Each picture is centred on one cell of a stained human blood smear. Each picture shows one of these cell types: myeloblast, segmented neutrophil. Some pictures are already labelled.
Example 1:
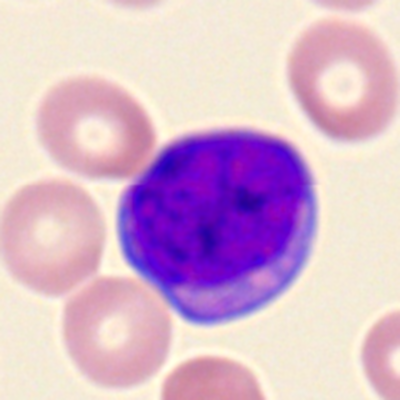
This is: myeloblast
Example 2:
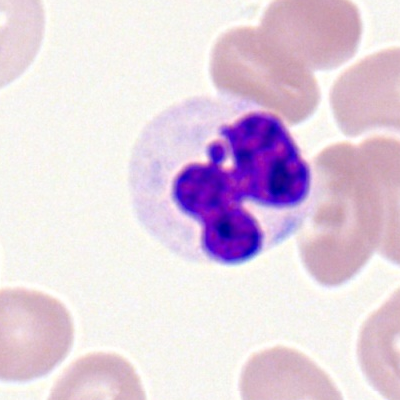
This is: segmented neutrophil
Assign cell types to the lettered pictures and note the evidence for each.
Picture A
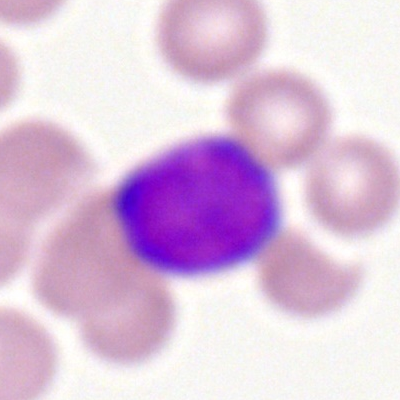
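Answer: myeloblast. Only a very thin rim of deep blue cytoplasm shows, mainly along the left and lower edges.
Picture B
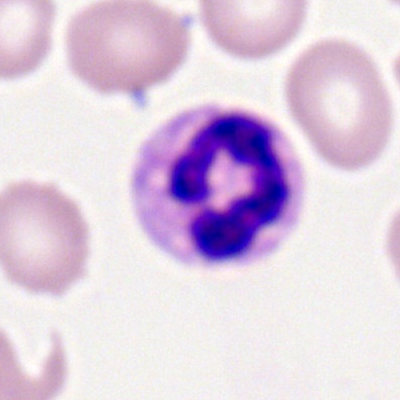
Answer: segmented neutrophil. The nuclear lobes curve around a pale pink area in the middle of the cell.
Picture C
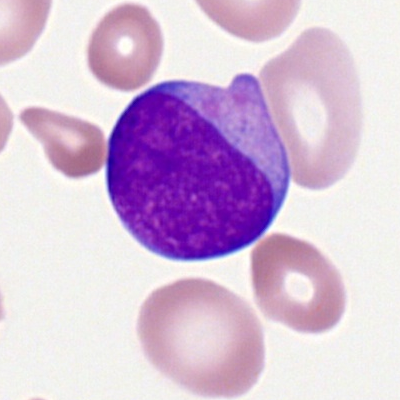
Answer: myeloblast. The nucleus fills most of the cell and lies toward the lower left.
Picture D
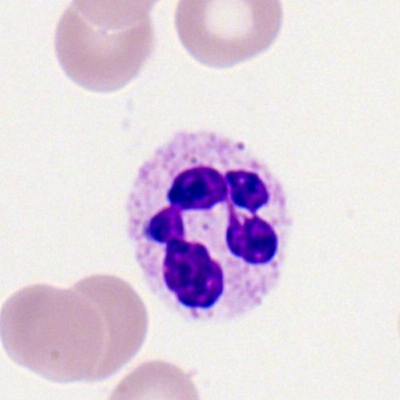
Answer: segmented neutrophil. The cytoplasm is plentiful and pale pink.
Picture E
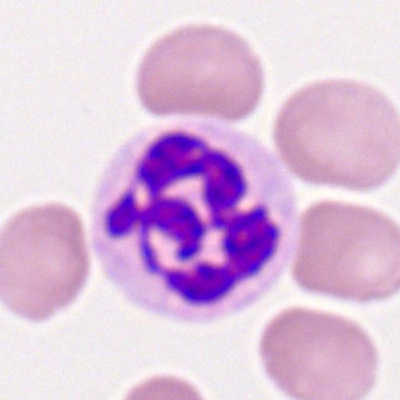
Answer: segmented neutrophil. The nucleus is divided into several separate lobes.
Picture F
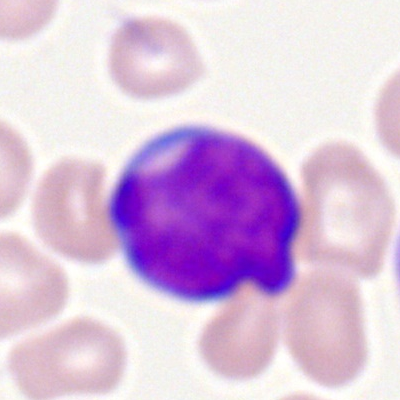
Answer: myeloblast. The nucleus fills almost the whole cell.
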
